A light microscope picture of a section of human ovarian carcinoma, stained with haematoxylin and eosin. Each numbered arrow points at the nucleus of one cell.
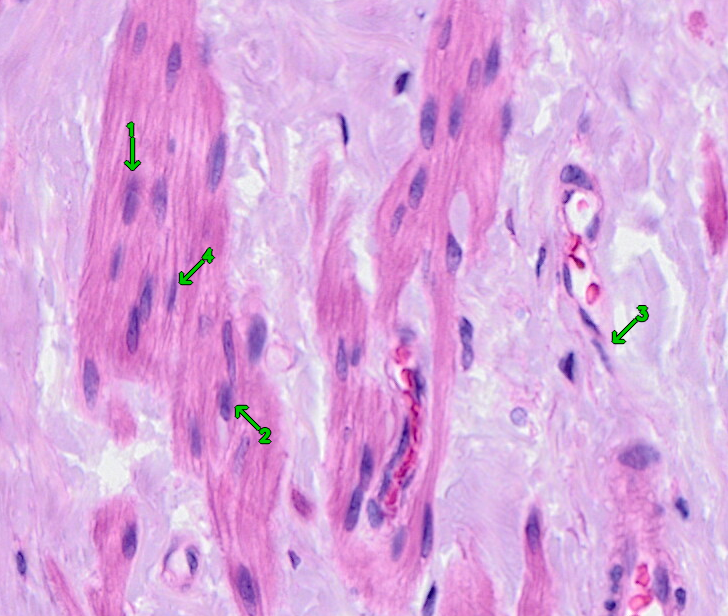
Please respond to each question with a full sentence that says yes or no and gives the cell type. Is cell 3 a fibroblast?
Yes, regarding number 3, the cell is a fibroblast.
